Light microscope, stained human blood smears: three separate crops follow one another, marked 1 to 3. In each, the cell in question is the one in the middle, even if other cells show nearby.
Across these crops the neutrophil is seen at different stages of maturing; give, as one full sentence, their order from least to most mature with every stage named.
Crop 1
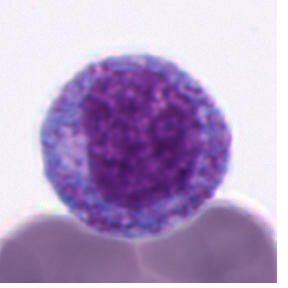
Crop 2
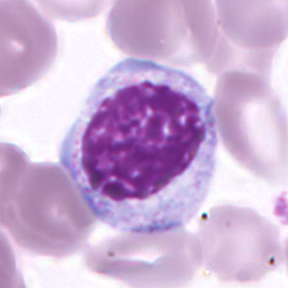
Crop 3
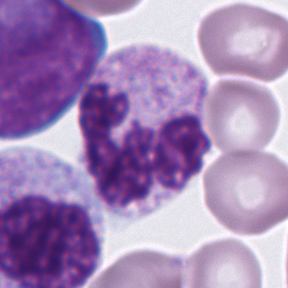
Across the crops, maturity increases in the order crop 1 (a promyelocyte), crop 2 (a myelocyte) and crop 3 (a segmented neutrophil).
